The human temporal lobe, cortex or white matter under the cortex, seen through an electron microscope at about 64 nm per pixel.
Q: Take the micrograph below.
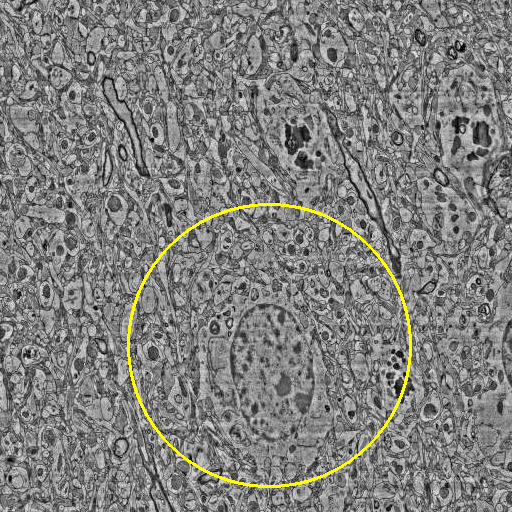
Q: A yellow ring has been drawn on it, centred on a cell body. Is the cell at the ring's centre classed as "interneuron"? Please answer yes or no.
No, its kind is another one.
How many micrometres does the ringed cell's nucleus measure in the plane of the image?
Approximately 9 by 5 micrometers, which makes the nucleus clearly longer than it is wide in this plane.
